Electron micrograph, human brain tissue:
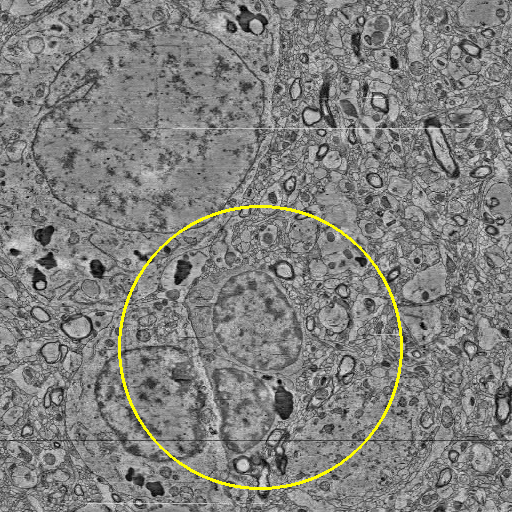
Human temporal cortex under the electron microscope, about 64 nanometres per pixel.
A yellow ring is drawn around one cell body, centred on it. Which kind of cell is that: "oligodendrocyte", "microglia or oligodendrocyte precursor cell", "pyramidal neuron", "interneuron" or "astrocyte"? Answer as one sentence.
It is a microglial cell or oligodendrocyte precursor cell at the centre of the ring.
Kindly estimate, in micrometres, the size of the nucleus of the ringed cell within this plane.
The nucleus measures about 6 micrometers across in this plane.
